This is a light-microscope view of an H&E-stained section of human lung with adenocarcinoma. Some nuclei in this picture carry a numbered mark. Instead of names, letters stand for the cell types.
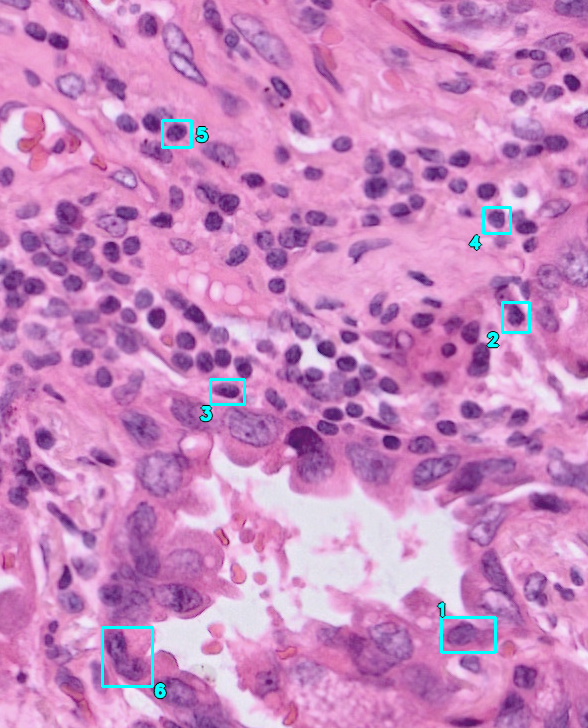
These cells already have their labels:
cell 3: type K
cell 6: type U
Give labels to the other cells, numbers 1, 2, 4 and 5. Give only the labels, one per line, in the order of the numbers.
type U
type K
type K
type K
